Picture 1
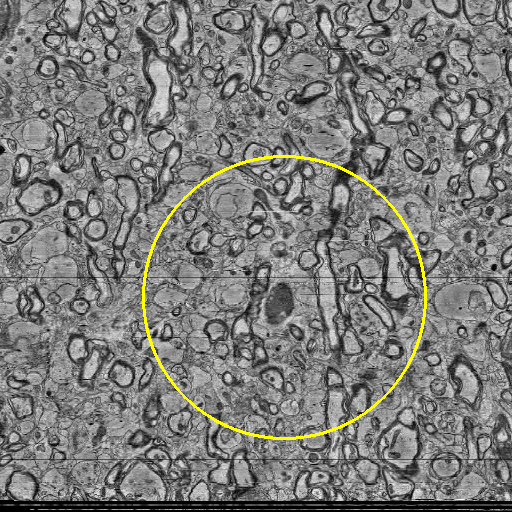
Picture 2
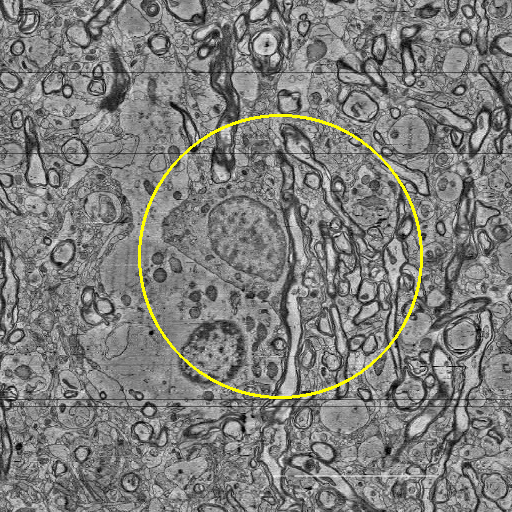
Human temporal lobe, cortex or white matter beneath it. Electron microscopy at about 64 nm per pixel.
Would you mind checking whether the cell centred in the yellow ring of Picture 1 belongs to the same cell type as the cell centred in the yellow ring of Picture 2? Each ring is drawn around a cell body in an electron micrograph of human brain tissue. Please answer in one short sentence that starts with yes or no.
No, the two cells are of two types.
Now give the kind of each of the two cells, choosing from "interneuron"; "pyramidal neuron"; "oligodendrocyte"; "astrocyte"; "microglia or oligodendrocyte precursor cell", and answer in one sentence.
The cell in the first picture is a microglial cell or oligodendrocyte precursor cell, and the cell in the second is an oligodendrocyte.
